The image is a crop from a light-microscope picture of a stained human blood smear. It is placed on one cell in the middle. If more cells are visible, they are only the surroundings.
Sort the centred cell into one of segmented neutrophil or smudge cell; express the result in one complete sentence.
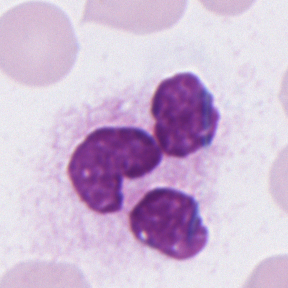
This particular crop is centered on a segmented neutrophil.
